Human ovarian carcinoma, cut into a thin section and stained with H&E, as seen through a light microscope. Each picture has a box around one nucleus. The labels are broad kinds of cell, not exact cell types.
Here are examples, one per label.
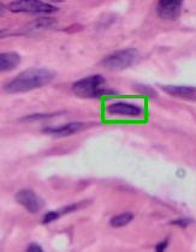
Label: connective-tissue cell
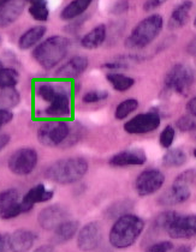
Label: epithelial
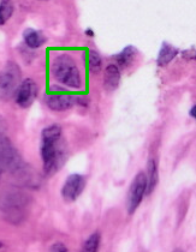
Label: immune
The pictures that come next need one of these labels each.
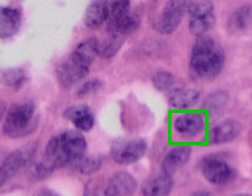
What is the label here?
immune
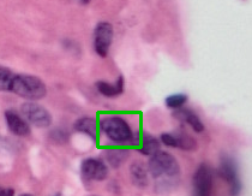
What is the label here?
epithelial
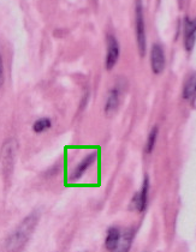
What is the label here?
connective-tissue cell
